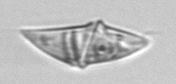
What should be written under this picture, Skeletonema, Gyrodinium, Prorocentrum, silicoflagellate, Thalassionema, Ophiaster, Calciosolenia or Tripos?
Gyrodinium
